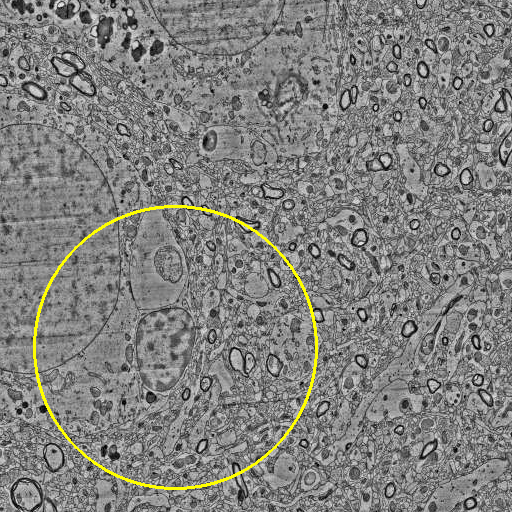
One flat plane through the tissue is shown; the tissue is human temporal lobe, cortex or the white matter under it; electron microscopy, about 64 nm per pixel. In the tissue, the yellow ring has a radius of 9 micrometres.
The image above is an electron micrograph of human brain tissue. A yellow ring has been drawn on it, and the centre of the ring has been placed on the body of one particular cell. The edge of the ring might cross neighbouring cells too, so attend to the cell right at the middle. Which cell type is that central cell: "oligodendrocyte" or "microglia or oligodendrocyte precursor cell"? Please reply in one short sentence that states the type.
The central cell in the ring is a microglial cell or oligodendrocyte precursor cell.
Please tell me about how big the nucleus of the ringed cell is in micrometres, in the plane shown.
Roughly 5 by 4 micrometres in this plane, for the nucleus of the ringed cell.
